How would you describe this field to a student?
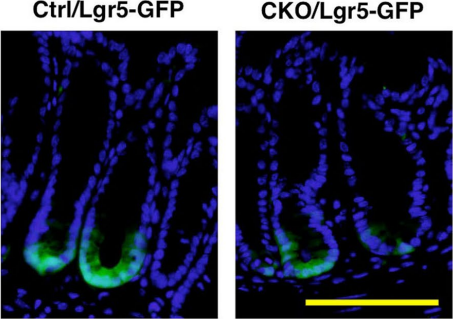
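These are longitudinally cut crypts of the colonic mucosa, each a straight tubular gland lined by a single layer of epithelial cells whose blue nuclei line the walls. The crypts run parallel to one another and end blindly in rounded bases at the bottom of the field, with loose tissue and scattered nuclei between them. In the left image the green band is broad and bright in two adjacent crypt bases, while in the right image the green cells at the crypt bases look fewer and fainter.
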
